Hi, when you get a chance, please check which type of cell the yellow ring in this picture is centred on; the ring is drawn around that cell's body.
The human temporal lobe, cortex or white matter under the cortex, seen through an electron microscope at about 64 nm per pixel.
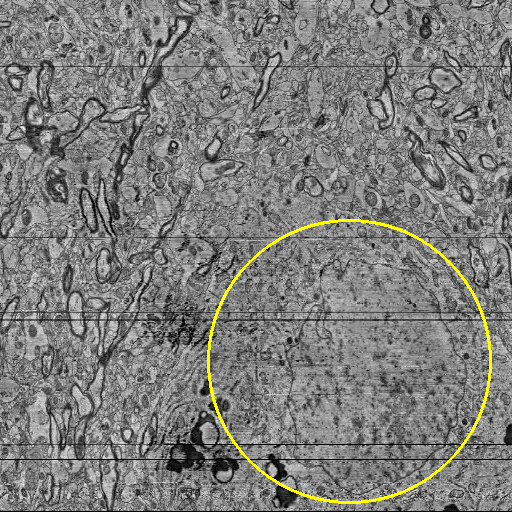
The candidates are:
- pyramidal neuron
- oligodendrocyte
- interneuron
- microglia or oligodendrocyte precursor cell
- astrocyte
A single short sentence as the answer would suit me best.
The ring is drawn around the body of a pyramidal neuron.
